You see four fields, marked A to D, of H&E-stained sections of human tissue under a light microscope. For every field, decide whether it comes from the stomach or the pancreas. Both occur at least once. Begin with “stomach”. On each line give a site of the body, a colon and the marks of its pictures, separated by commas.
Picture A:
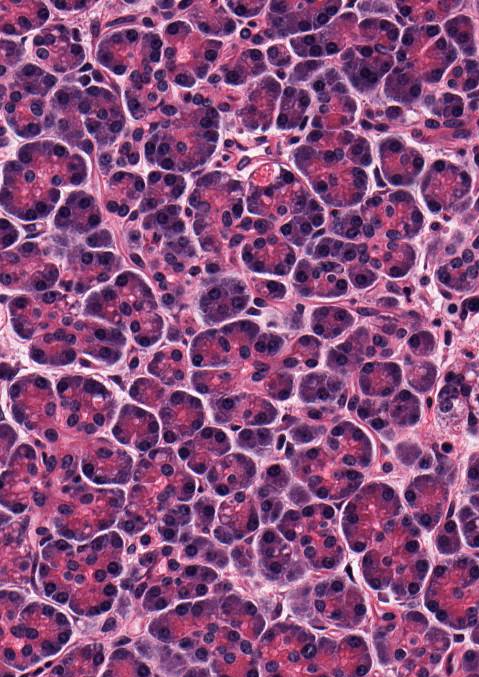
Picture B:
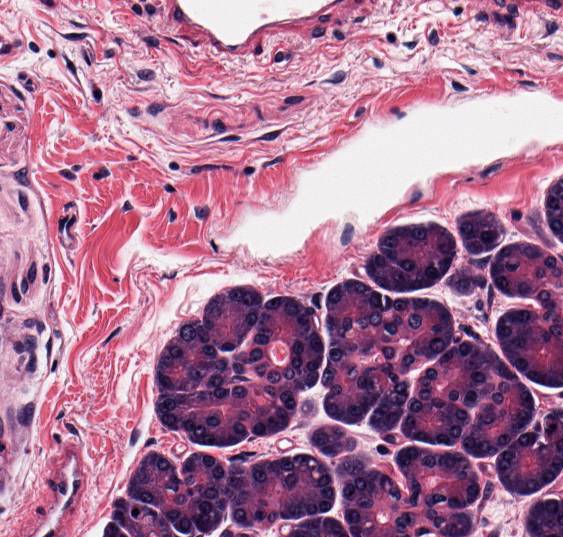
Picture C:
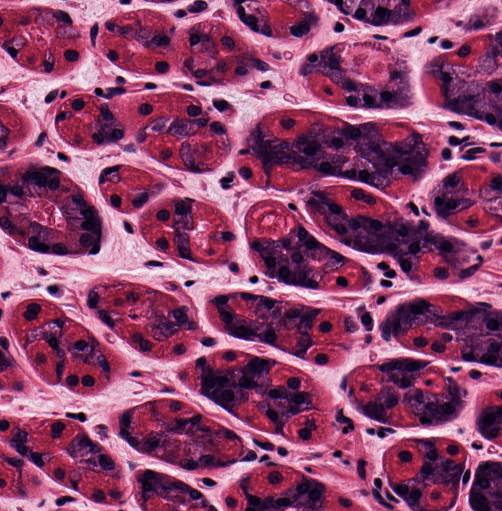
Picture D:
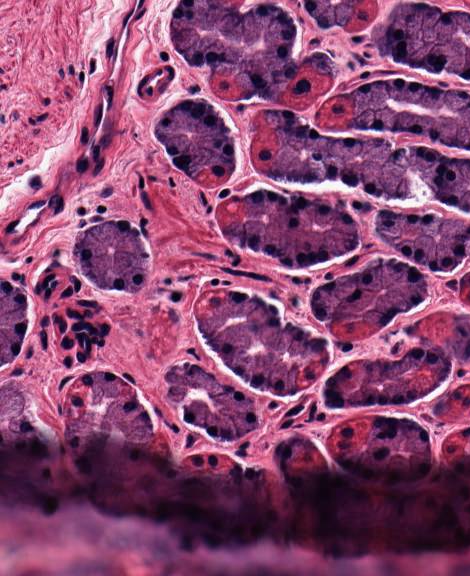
stomach: C, D
pancreas: A, B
